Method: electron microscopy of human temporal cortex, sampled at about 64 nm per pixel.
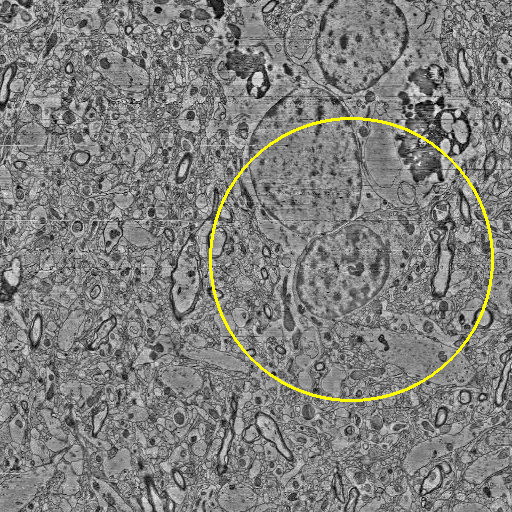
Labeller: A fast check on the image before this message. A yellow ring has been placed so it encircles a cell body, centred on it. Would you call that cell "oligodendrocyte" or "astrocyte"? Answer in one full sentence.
In this image, an oligodendrocyte is the cell on which the yellow ring is centred.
